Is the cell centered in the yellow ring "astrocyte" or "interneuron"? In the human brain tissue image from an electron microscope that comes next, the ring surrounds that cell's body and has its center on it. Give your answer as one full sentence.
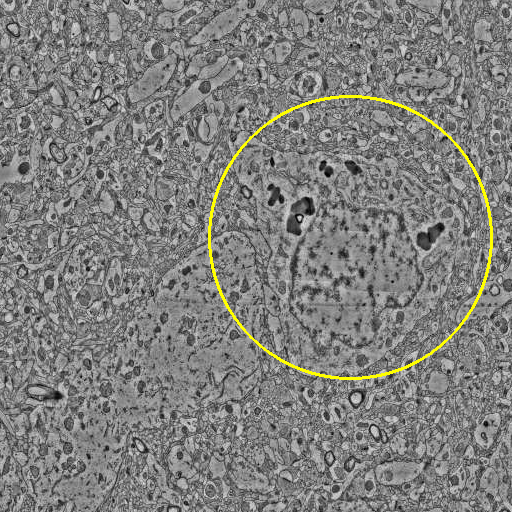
The cell at the center of the yellow ring is an interneuron in the micrograph.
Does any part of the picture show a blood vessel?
No, the picture includes no blood vessel.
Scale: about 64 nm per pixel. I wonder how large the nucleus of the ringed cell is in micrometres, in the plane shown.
In this plane the nucleus is about 9 micrometres by 8.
